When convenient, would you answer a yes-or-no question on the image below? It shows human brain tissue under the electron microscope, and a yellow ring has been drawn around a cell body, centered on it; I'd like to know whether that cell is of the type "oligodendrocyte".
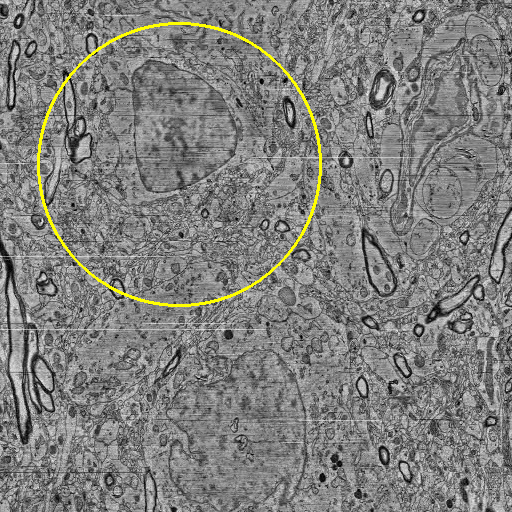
no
